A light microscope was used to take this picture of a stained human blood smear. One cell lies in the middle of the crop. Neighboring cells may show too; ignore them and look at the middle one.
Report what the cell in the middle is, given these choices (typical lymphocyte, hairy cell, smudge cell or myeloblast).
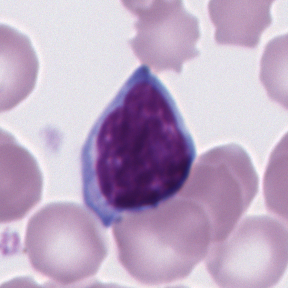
typical lymphocyte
